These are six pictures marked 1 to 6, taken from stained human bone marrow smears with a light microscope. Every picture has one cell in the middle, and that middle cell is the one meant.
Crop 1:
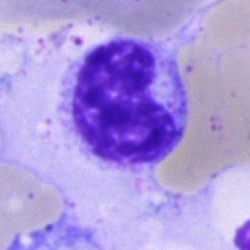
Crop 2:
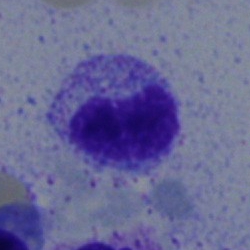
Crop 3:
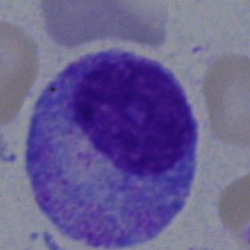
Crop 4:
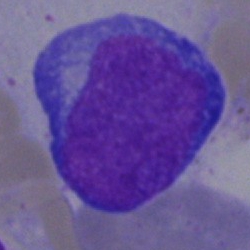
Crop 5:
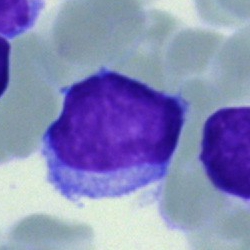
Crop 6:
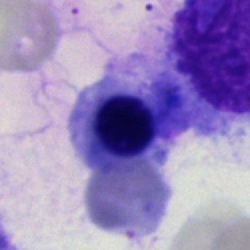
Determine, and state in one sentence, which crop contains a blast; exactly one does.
When the crops are compared, crop 4 is the one showing a blast.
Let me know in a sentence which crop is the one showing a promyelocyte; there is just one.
Crop 3 is the one in the set with a promyelocyte at the center.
